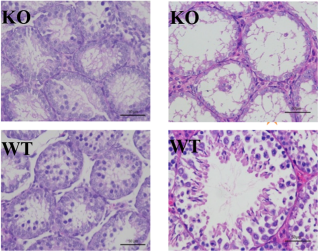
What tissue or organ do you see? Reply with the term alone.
seminiferous tubules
